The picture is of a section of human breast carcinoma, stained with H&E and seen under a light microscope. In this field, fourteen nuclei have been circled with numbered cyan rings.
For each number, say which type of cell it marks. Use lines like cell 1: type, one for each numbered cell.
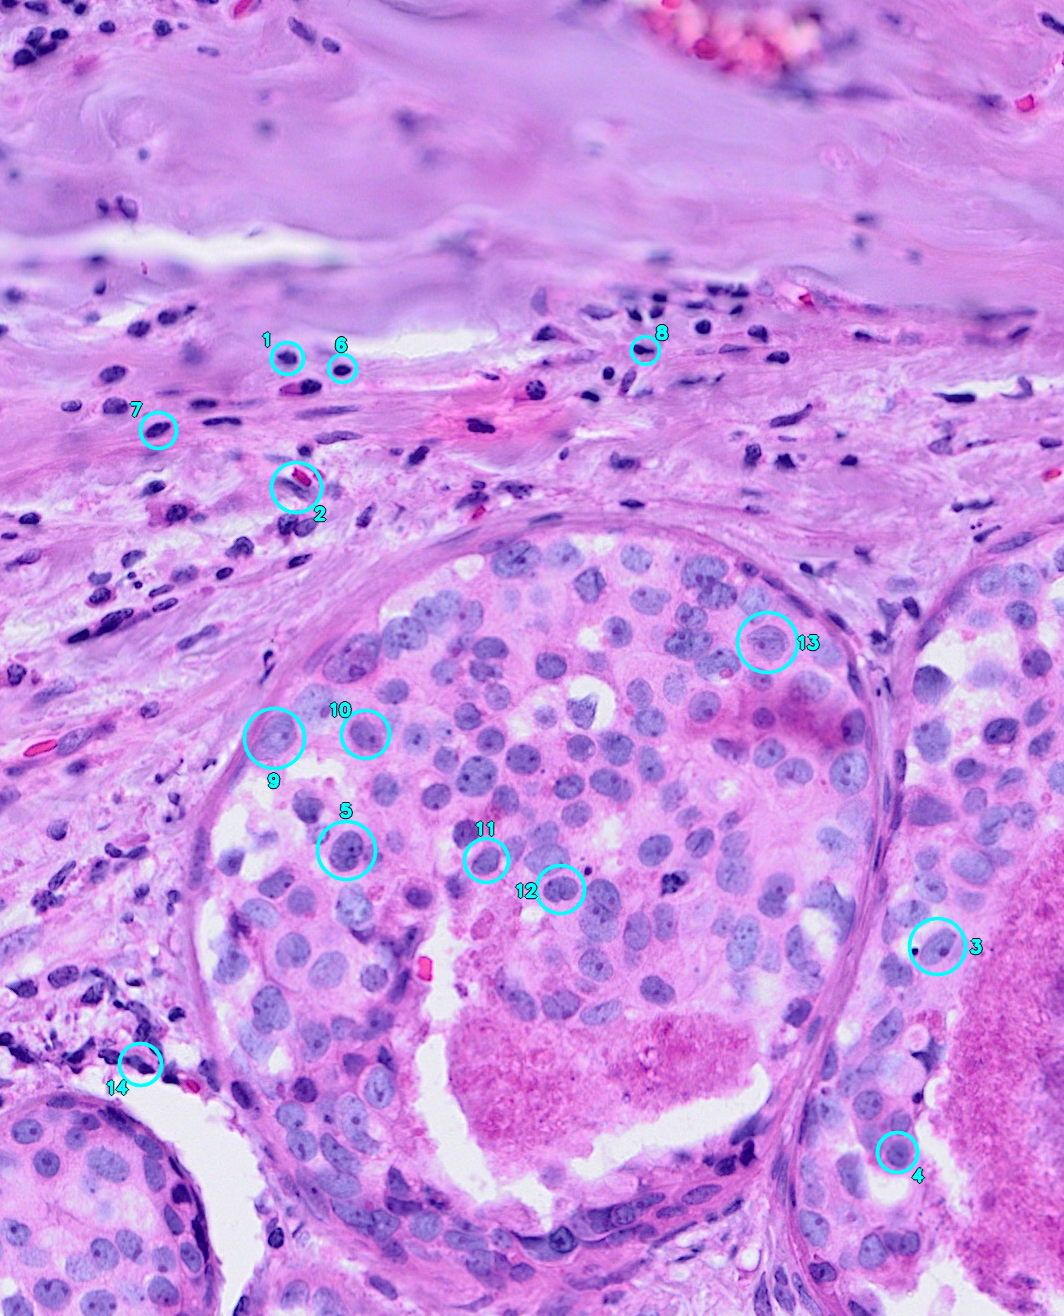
cell 1: lymphocyte
cell 2: endothelial cell
cell 3: carcinoma cell
cell 4: carcinoma cell
cell 5: carcinoma cell
cell 6: lymphocyte
cell 7: lymphocyte
cell 8: lymphocyte
cell 9: carcinoma cell
cell 10: carcinoma cell
cell 11: carcinoma cell
cell 12: carcinoma cell
cell 13: carcinoma cell
cell 14: lymphocyte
